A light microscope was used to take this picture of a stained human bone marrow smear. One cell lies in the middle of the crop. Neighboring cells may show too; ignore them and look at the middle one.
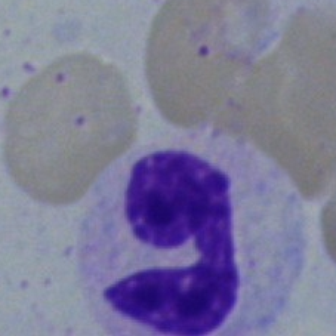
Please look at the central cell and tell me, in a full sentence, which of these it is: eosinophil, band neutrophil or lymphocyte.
Seen at the centre of the crop is a band neutrophil.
